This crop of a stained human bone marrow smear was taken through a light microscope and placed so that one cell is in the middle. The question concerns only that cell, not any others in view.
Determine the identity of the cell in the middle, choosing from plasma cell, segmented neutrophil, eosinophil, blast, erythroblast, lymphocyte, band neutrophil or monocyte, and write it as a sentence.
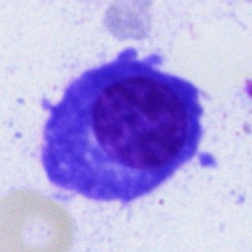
Framed in the middle of the crop is a plasma cell.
